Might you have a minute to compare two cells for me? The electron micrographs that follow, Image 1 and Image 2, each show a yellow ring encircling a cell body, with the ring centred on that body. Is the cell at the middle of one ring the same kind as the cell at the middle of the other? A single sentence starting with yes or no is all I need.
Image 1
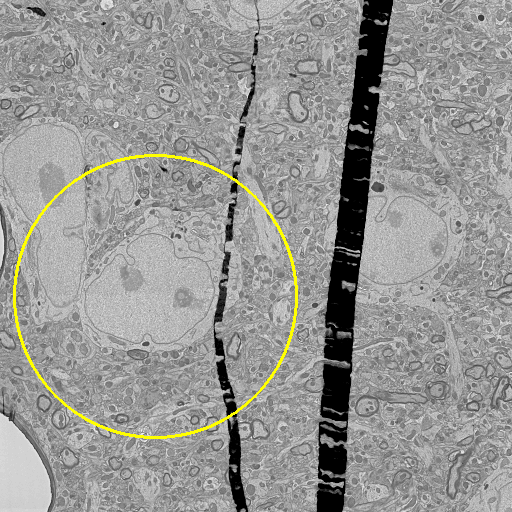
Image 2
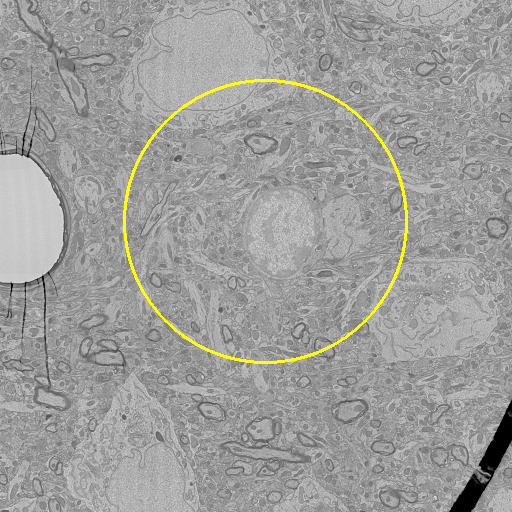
No, the cells in the middle of the two rings are of two separate kinds.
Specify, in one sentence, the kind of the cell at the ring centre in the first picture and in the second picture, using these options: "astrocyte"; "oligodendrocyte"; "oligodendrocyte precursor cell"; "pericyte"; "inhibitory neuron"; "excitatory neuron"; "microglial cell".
So the first is an excitatory neuron, the second an oligodendrocyte.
